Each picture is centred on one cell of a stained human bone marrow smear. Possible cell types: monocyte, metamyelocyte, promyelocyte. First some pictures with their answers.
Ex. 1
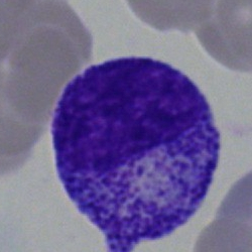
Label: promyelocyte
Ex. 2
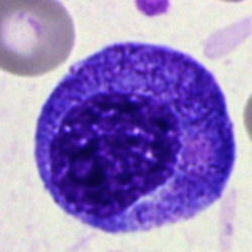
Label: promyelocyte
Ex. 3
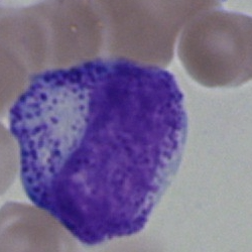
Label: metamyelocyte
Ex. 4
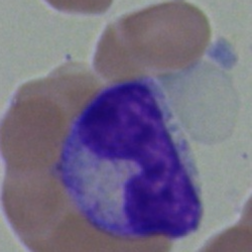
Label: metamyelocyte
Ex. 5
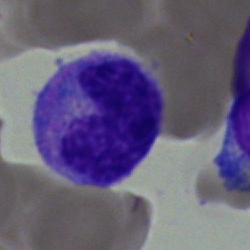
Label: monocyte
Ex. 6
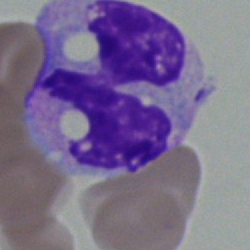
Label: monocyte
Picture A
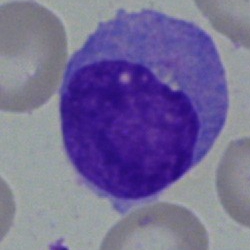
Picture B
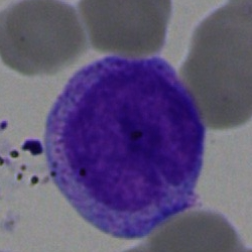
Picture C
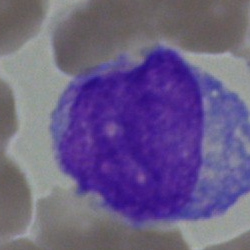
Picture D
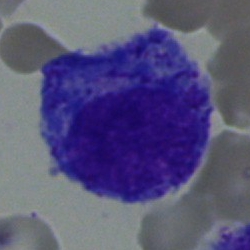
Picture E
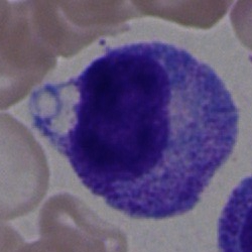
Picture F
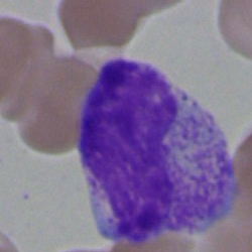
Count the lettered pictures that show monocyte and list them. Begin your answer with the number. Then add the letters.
Count: 2 (A, C)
